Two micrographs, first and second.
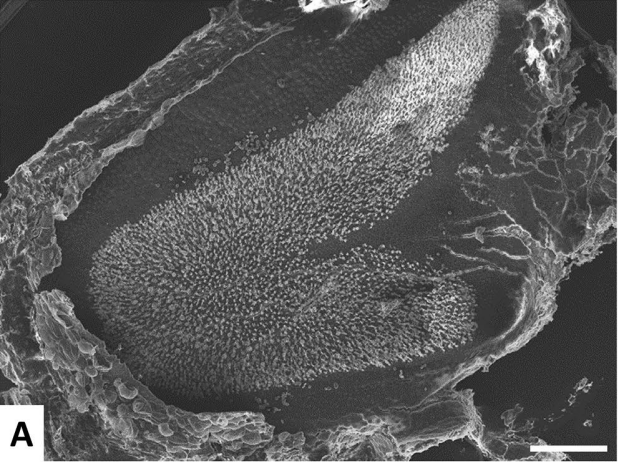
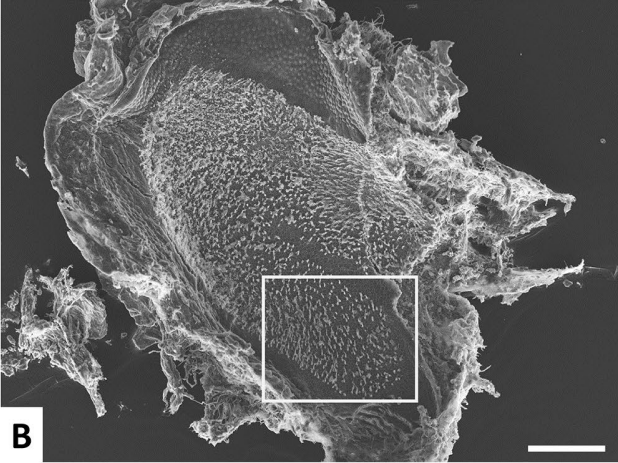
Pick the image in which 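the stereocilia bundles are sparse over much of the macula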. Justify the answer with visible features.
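Second image: tufts are scattered with wide bare gaps over the patch. First image: tufts cover the patch densely and evenly. The answer: the second image.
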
